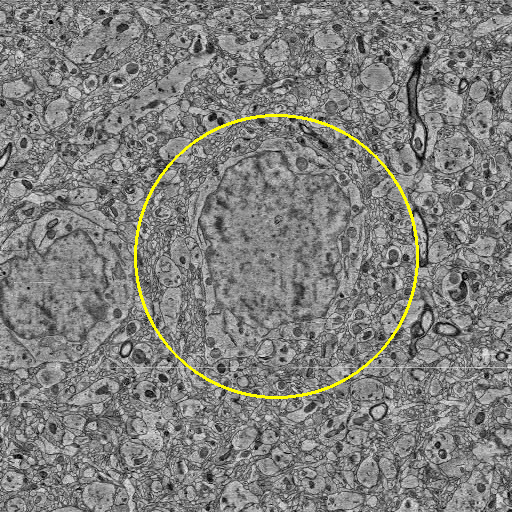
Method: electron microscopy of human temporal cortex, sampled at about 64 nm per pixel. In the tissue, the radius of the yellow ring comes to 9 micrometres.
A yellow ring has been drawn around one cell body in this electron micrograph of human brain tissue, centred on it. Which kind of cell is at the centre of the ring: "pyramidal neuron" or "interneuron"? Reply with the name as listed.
interneuron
